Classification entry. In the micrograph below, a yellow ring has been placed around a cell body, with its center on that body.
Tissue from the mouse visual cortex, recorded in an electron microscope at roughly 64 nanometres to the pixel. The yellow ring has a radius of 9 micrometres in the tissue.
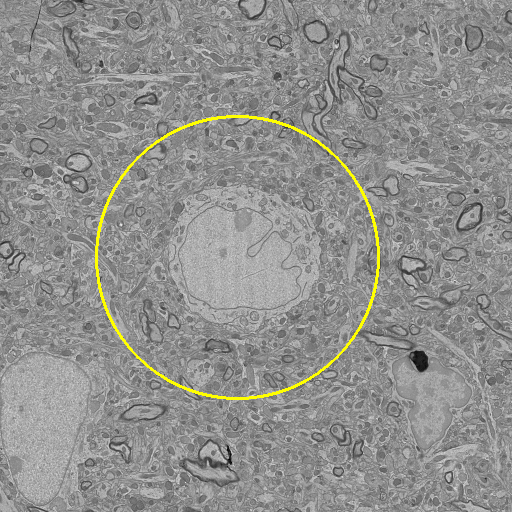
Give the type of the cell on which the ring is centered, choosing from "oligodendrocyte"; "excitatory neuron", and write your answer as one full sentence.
The cell body at the center of the yellow ring belongs to an excitatory neuron.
